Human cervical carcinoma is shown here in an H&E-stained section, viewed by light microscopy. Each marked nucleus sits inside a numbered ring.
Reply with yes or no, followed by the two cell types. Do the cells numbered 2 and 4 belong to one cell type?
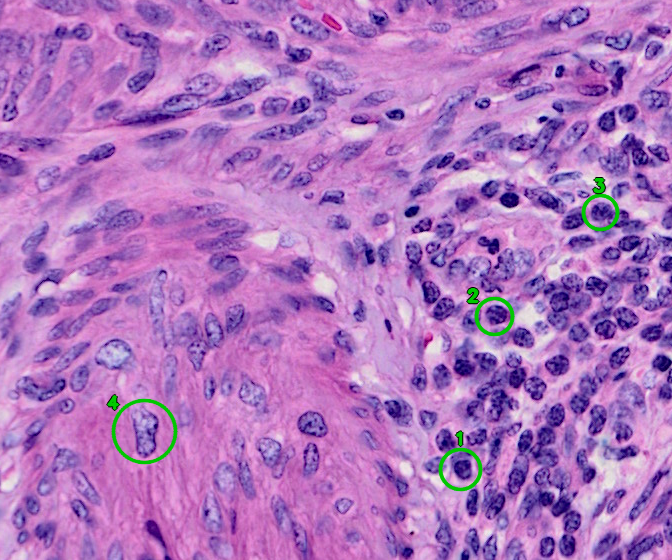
No, the cell bearing number 2 is a lymphocyte, while the one bearing number 4 is a smooth muscle cell.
